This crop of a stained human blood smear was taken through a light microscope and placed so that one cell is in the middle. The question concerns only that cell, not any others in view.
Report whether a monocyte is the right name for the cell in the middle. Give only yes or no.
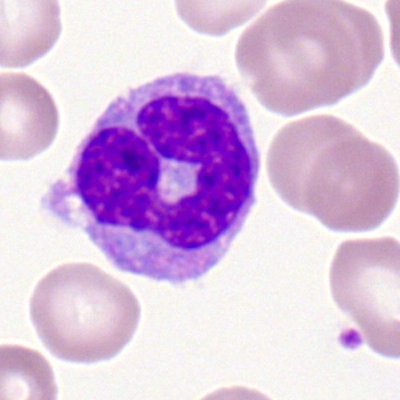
yes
